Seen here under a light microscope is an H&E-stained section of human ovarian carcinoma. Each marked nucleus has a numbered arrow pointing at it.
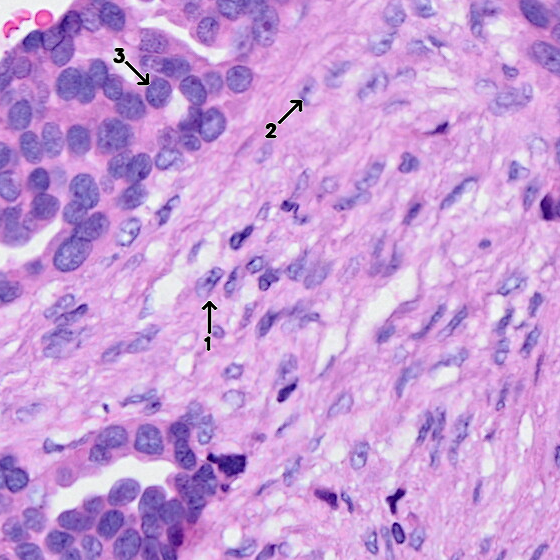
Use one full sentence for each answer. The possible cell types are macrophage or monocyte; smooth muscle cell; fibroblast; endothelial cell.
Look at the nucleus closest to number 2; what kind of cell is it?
Closest to number 2 lies the nucleus of a fibroblast.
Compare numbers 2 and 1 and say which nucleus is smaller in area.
The smaller nucleus is 2, and 1 covers roughly 1.5 times its area.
